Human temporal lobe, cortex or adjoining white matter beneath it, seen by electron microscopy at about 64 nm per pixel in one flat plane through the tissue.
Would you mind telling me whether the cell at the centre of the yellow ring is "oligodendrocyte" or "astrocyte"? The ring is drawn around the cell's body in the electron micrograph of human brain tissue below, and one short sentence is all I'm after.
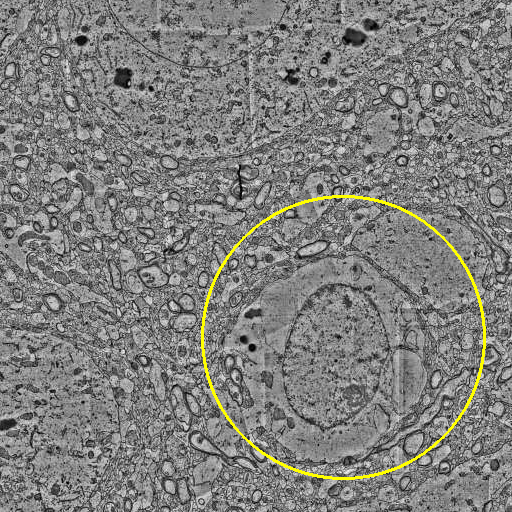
In the centre of the ring lies an astrocyte.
